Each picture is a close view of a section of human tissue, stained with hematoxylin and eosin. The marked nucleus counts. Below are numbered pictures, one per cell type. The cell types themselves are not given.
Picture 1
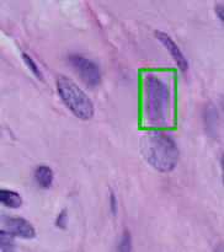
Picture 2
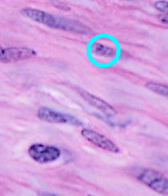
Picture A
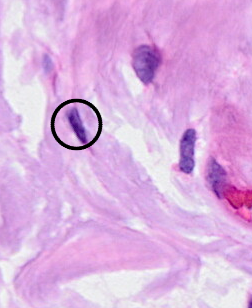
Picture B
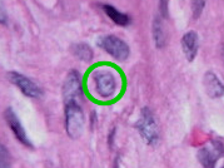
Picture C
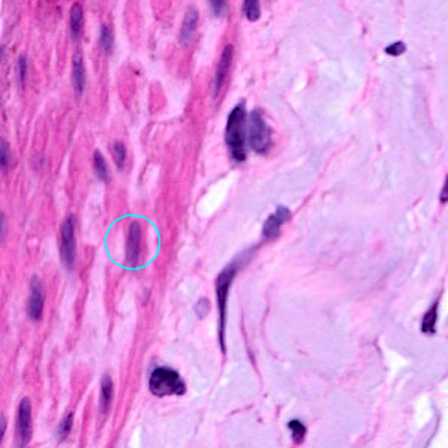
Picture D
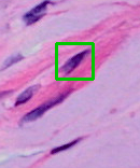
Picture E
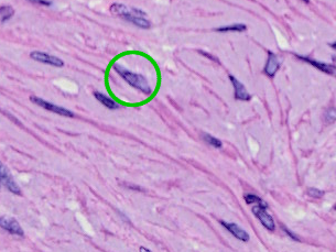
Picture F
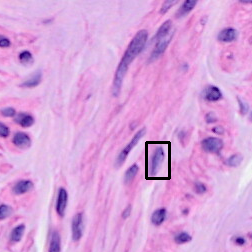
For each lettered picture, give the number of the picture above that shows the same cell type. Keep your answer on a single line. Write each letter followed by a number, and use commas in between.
A 1, B 1, C 2, D 2, E 1, F 2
